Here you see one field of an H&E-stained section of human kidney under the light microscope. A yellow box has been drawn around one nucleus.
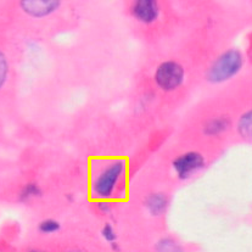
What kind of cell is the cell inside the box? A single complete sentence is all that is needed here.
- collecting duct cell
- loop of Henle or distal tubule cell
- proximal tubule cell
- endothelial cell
Cell type answer for this item: the cell inside the box is an endothelial cell.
